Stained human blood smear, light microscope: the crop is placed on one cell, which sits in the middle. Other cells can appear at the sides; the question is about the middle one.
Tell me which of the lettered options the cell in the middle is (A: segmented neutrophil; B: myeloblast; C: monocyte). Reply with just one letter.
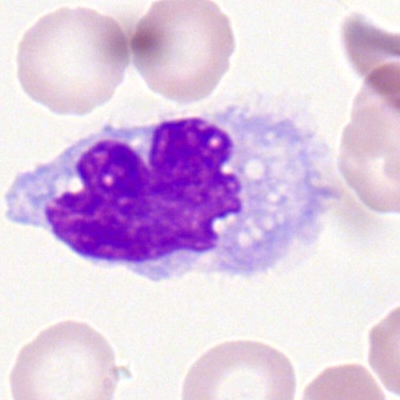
C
